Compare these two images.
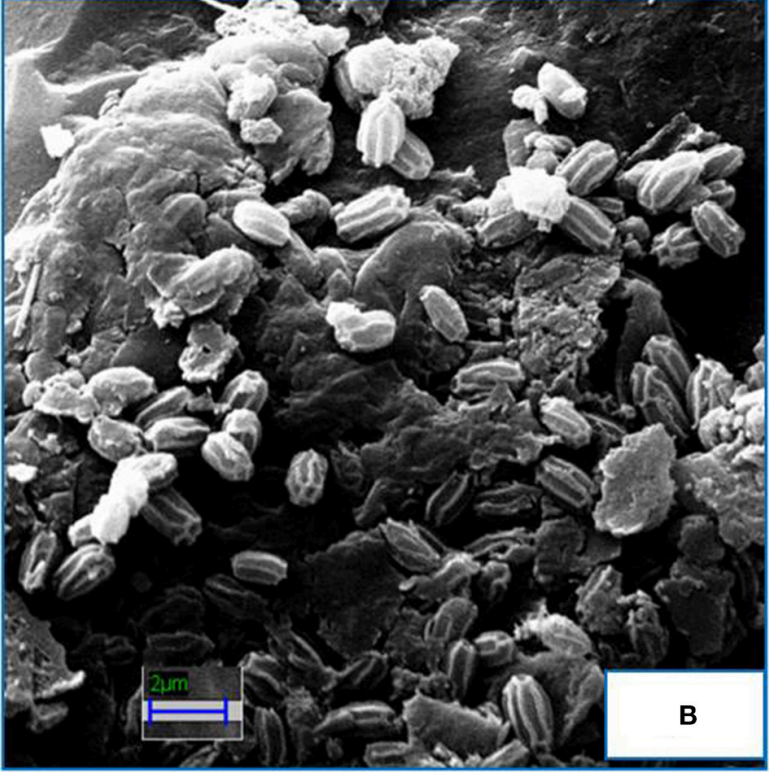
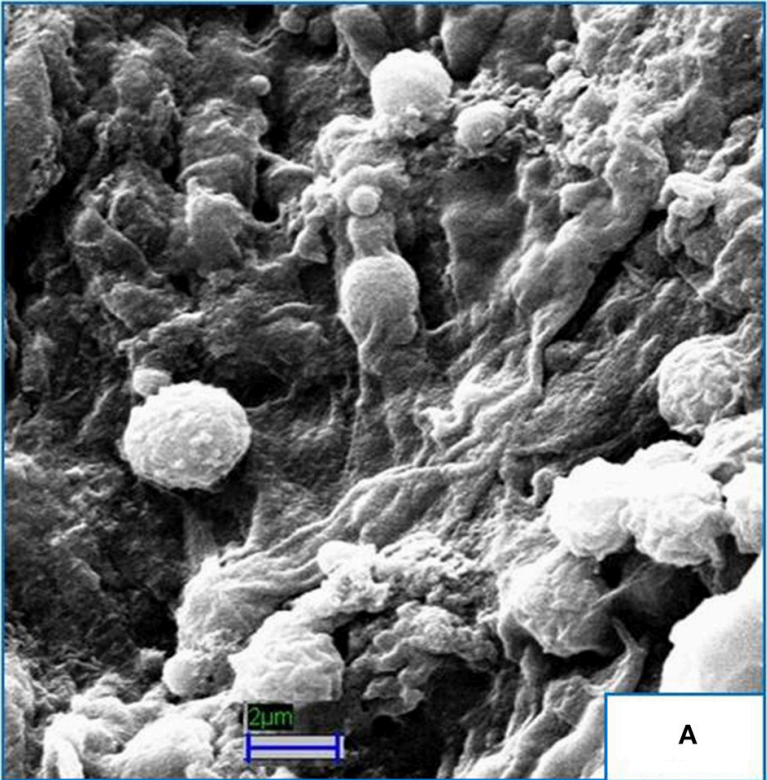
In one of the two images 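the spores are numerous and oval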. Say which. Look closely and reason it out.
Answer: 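The first image. Second image: only a few round bodies are scattered over the surface. First image: dozens of oval, ridged bodies crowd the field.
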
